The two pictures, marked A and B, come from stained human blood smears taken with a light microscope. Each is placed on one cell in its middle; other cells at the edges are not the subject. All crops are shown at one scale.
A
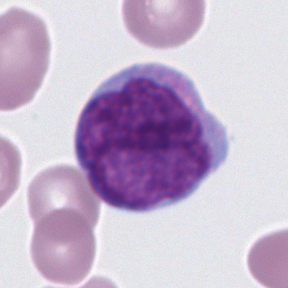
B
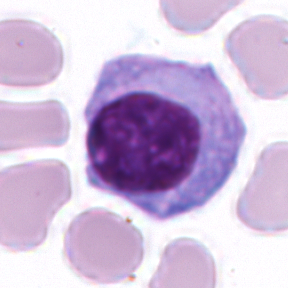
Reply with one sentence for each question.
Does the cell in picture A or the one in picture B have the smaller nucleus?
The nucleus in picture B is smaller; the one in picture A has about 1.5 times its area.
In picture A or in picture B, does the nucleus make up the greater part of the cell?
In picture A the nucleus takes up the larger part of its cell.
